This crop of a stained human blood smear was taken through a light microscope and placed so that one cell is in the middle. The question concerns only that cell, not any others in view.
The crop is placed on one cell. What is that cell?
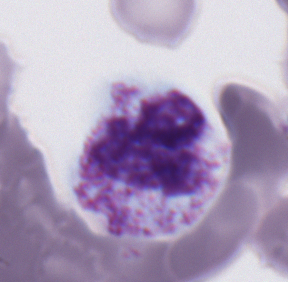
basophil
